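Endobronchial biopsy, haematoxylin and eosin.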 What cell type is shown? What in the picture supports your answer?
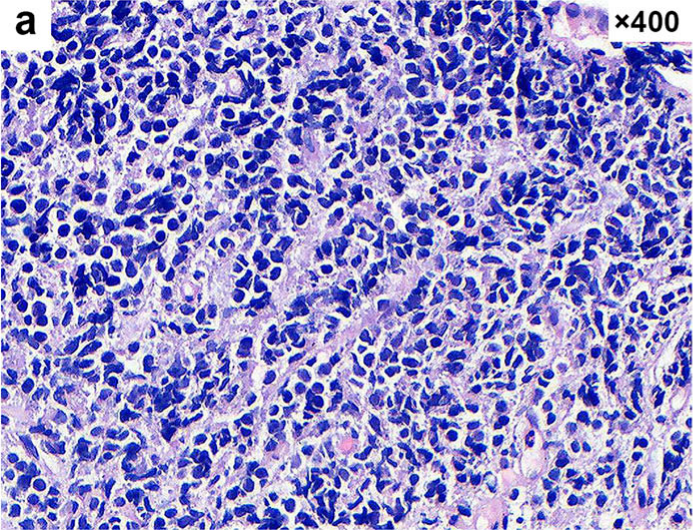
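Tumour cells. Dense sheets of closely packed cells fill the field. The nuclei are large, dark and crowded, some round, some oval or irregular. Only thin pink strands of stroma lie between the cell sheets.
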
